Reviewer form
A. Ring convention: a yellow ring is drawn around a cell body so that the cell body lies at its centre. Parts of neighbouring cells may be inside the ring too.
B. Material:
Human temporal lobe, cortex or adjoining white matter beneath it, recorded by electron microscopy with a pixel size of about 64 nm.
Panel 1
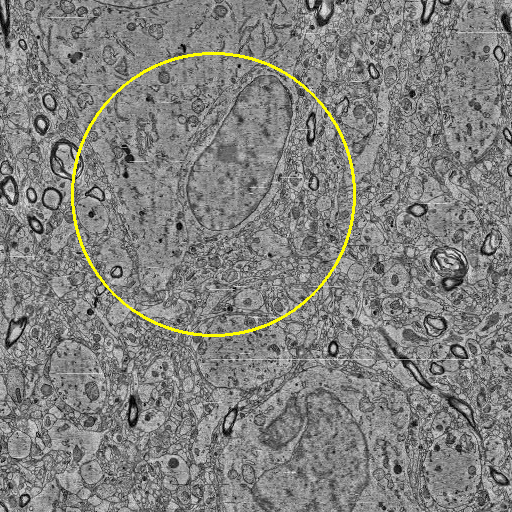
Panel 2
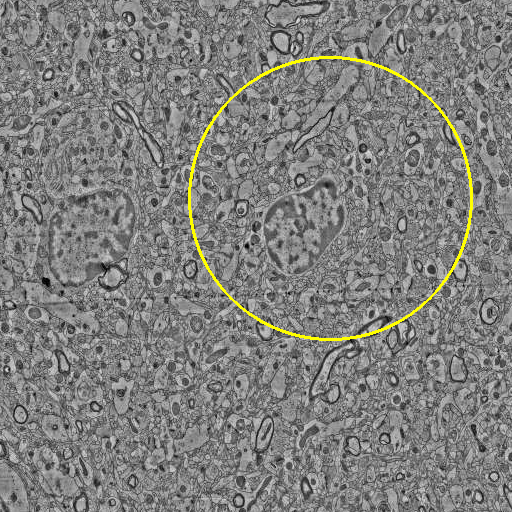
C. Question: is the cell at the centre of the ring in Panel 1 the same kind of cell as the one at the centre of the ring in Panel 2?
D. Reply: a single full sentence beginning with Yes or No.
Yes, the cells in Panel 1 and Panel 2 are the same kind of cell.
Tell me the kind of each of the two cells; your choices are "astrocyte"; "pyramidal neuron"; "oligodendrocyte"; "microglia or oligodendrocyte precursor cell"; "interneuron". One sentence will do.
The second cell is a microglial cell or oligodendrocyte precursor cell, just as the first is.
